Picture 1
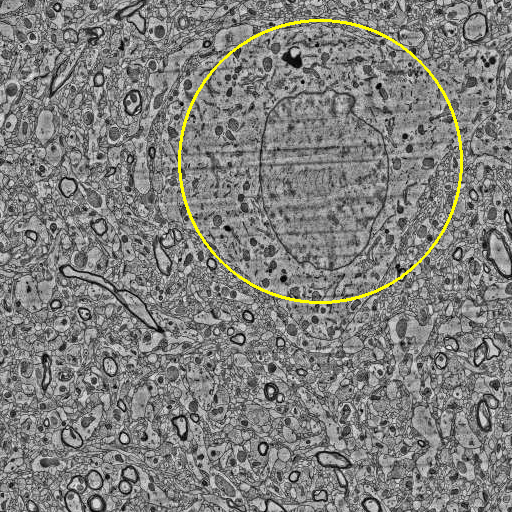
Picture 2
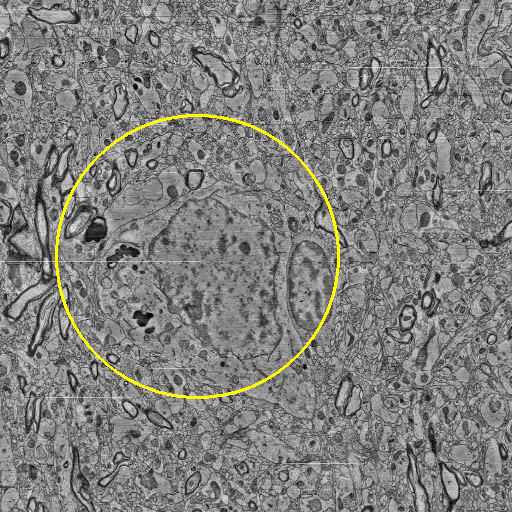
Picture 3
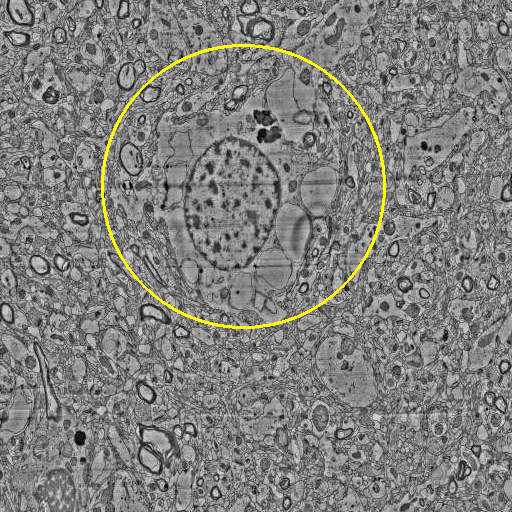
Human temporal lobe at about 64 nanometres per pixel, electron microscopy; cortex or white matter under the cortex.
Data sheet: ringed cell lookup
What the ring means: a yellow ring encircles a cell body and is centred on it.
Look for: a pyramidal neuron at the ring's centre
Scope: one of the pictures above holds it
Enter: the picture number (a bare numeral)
1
